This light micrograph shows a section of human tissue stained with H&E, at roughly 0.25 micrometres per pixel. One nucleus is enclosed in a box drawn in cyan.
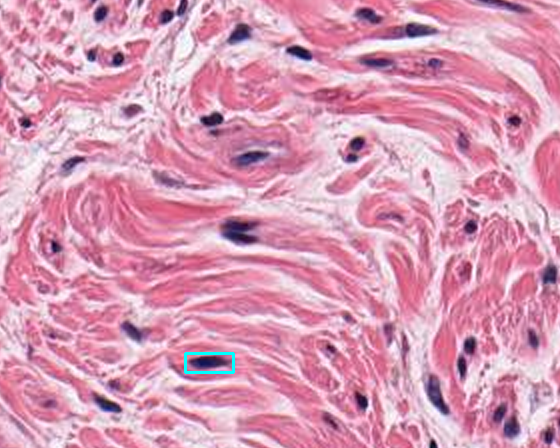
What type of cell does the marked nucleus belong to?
smooth muscle cell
